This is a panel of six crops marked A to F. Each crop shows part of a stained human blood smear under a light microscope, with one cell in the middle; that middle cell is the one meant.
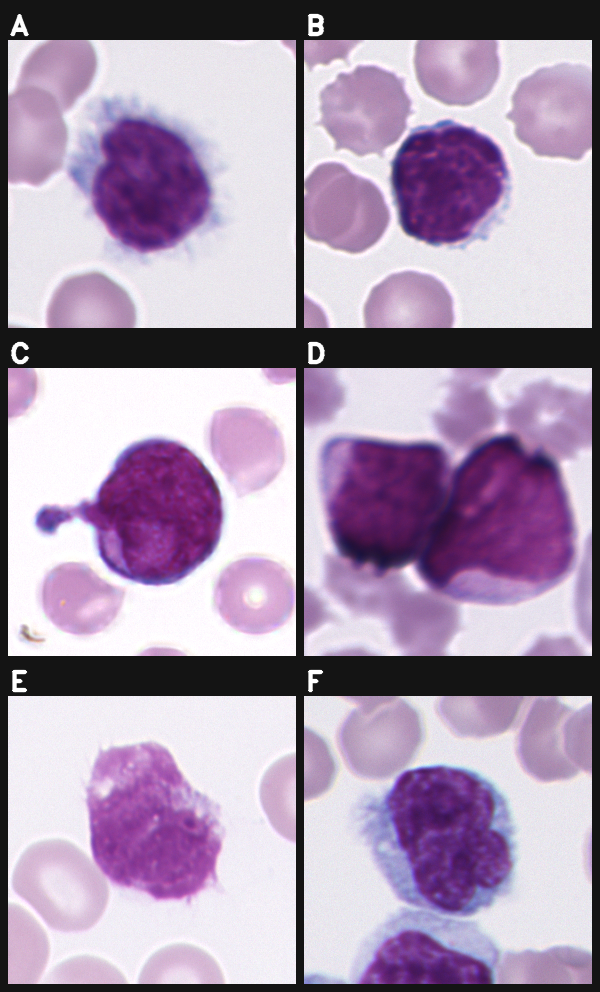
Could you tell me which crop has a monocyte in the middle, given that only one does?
F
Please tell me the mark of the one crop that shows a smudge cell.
E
